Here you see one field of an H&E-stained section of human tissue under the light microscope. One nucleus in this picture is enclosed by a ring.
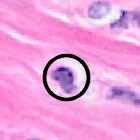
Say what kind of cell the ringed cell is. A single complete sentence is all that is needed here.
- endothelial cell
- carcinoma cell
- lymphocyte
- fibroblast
What the ringed cell represents is a lymphocyte.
